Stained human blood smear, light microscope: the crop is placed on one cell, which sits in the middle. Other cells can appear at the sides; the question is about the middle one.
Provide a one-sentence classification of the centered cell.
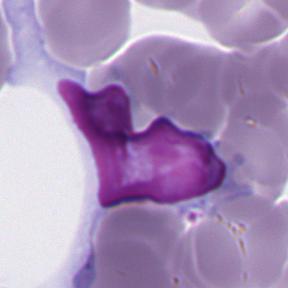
The cell around which this crop is centred is a typical lymphocyte.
